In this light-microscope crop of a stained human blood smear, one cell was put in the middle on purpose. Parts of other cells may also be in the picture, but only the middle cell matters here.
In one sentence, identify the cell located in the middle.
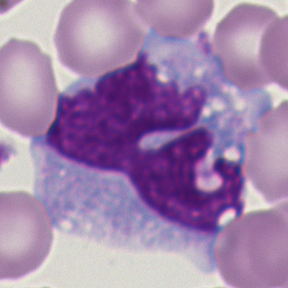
For this crop, the cell in the middle is a monocyte.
